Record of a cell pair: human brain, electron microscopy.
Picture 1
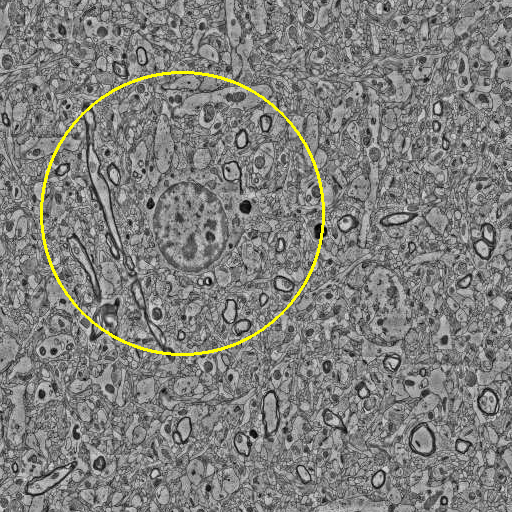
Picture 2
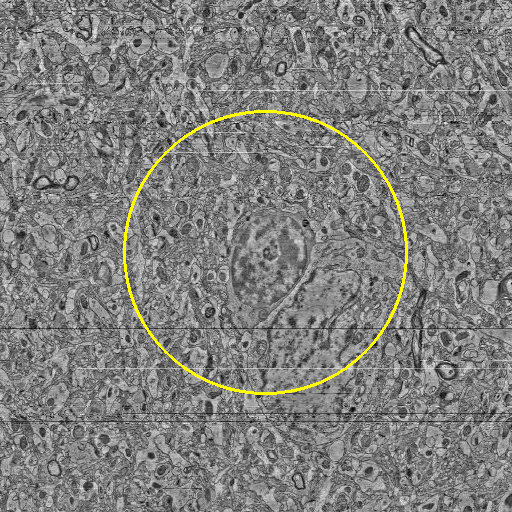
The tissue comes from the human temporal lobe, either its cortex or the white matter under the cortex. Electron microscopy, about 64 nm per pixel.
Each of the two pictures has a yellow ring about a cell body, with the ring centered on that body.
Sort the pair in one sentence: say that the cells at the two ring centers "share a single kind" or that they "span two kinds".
The cells centered in the rings of Pictures 1 and 2 share a single kind.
